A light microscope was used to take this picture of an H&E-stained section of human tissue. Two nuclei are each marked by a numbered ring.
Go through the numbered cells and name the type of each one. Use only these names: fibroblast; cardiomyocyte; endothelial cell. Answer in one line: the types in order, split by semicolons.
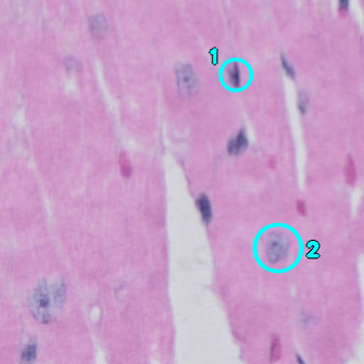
endothelial cell; cardiomyocyte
